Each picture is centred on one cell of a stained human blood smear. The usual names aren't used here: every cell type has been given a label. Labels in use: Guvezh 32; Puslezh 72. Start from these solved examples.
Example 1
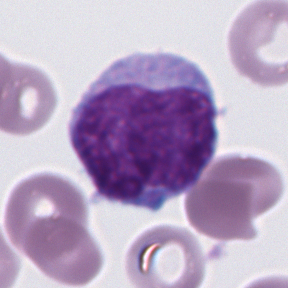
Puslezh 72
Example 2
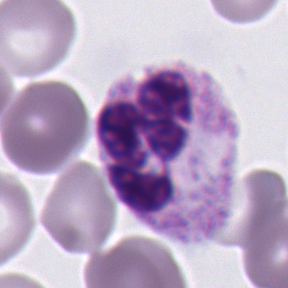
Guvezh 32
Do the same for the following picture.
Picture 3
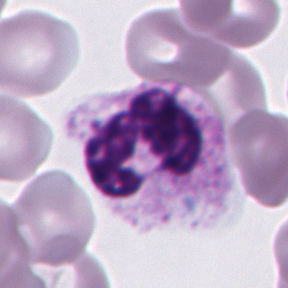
Guvezh 32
